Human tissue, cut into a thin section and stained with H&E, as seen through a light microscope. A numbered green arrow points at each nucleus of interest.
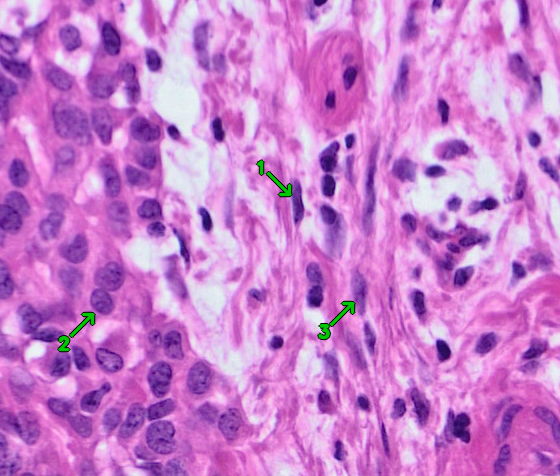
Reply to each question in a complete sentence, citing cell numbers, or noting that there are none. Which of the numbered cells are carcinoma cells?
Cell 2 is a carcinoma cell, while all remaining marked cells are of other types.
